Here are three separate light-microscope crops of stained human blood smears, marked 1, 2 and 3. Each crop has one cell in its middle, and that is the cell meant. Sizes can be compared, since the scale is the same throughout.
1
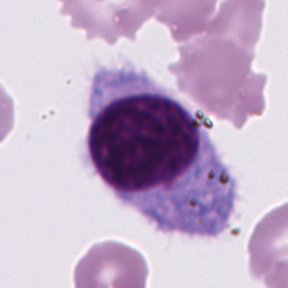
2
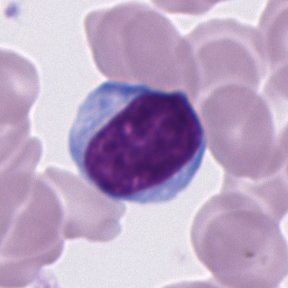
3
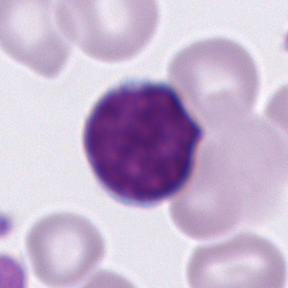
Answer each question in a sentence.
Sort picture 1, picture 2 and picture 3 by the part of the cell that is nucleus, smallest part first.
The least filled comes first: 1, 2, 3.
